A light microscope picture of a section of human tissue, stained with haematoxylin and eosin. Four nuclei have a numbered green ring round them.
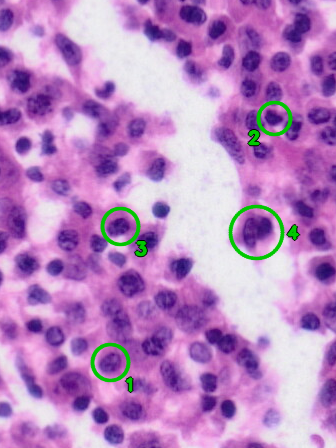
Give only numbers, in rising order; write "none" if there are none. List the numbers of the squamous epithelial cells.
4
